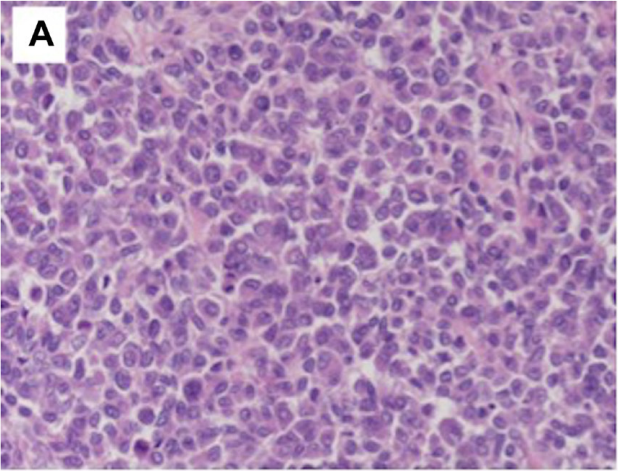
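Densely packed sheet of relatively uniform tumor cells with round to oval nuclei. Little stroma lies between the cells apart from thin pink strands.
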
